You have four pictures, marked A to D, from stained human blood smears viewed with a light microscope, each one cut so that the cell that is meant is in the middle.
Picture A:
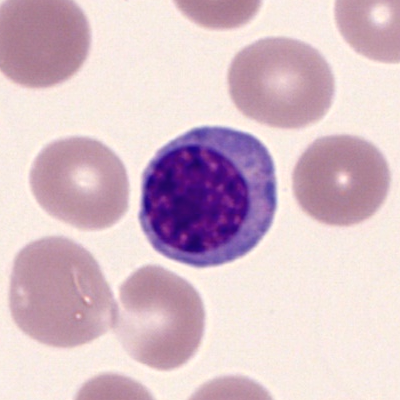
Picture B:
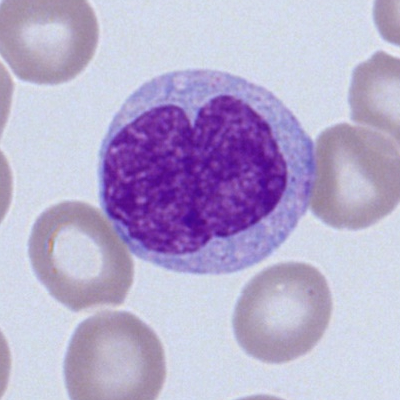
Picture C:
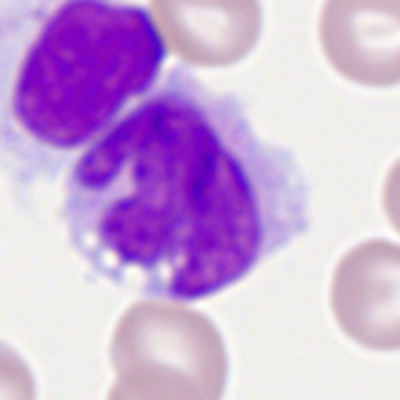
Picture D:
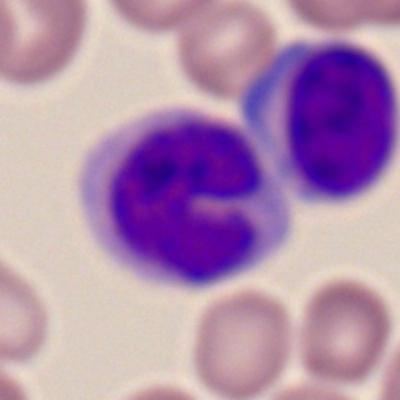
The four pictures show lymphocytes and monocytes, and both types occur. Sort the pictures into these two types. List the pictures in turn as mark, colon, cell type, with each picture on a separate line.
A: lymphocyte
B: monocyte
C: monocyte
D: monocyte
